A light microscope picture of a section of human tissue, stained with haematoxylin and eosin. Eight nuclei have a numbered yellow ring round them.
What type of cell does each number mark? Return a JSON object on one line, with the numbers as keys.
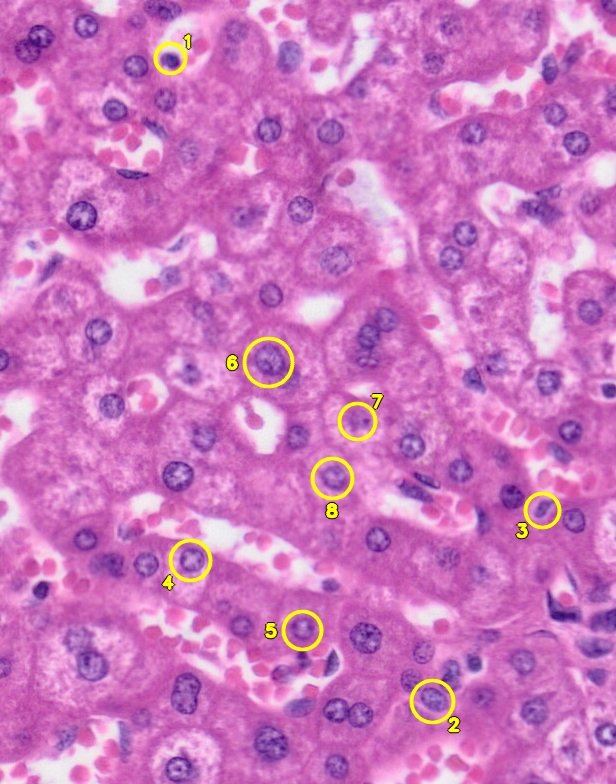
{"1": "lymphocyte", "2": "cholangiocyte", "3": "fibroblast or stellate cell", "4": "hepatocyte", "5": "hepatocyte", "6": "hepatocyte", "7": "hepatocyte", "8": "hepatocyte"}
